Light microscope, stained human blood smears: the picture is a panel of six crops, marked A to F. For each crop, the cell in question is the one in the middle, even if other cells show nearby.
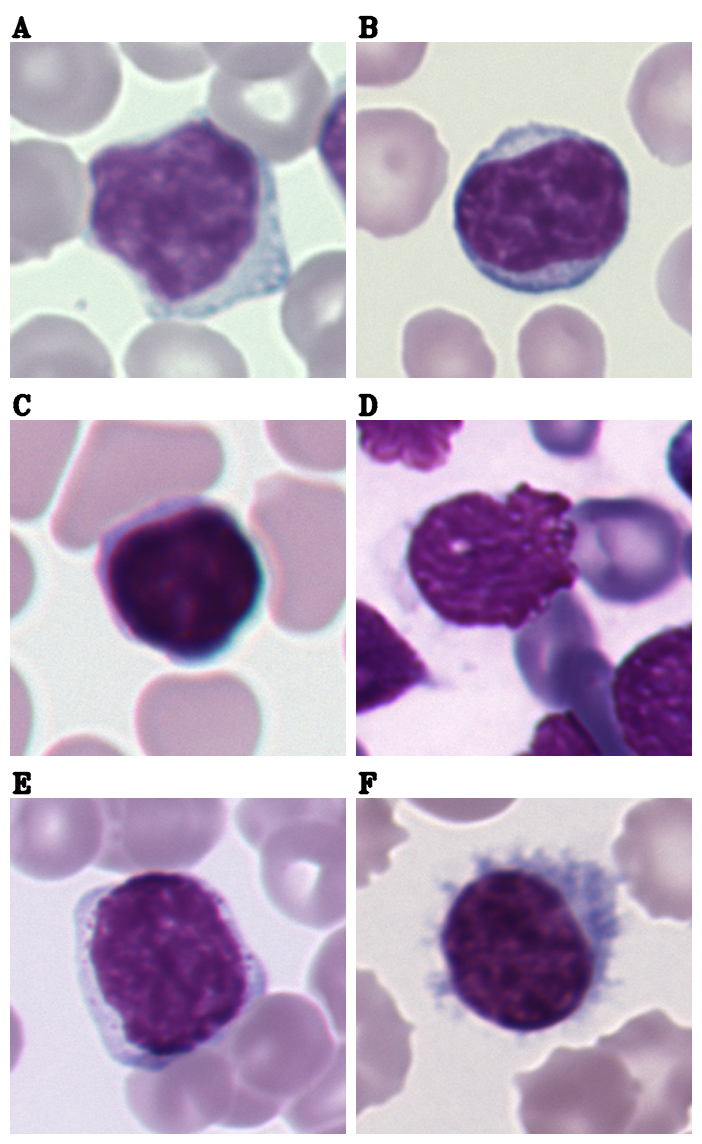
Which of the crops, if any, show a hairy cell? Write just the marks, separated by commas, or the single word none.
F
